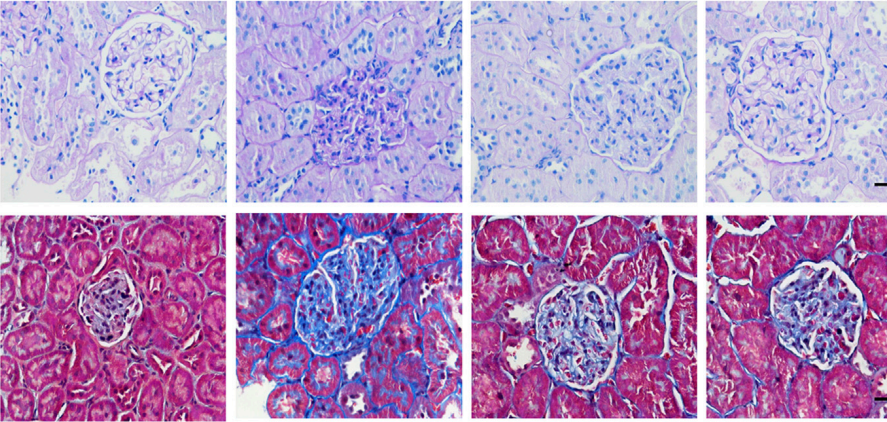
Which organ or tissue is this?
Kidneys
